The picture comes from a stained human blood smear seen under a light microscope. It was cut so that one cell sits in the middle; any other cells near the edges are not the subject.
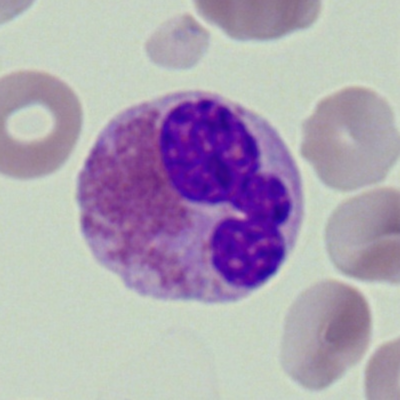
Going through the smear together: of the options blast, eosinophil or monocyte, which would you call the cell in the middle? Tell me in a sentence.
The cell marked by its central position in the crop is an eosinophil.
